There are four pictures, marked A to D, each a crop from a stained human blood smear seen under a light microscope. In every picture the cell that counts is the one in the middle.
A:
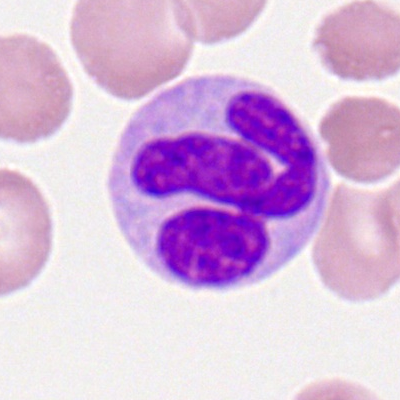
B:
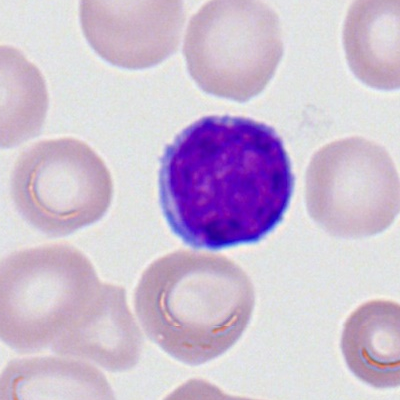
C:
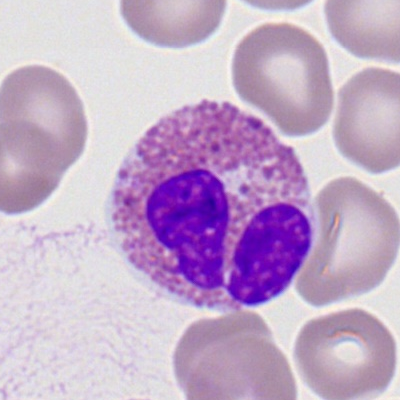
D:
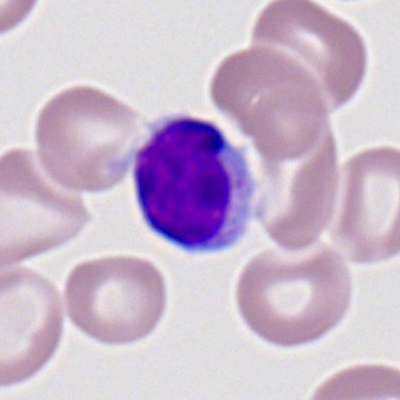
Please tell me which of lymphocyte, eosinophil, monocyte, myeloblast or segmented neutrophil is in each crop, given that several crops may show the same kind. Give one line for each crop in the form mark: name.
A: monocyte
B: lymphocyte
C: eosinophil
D: lymphocyte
